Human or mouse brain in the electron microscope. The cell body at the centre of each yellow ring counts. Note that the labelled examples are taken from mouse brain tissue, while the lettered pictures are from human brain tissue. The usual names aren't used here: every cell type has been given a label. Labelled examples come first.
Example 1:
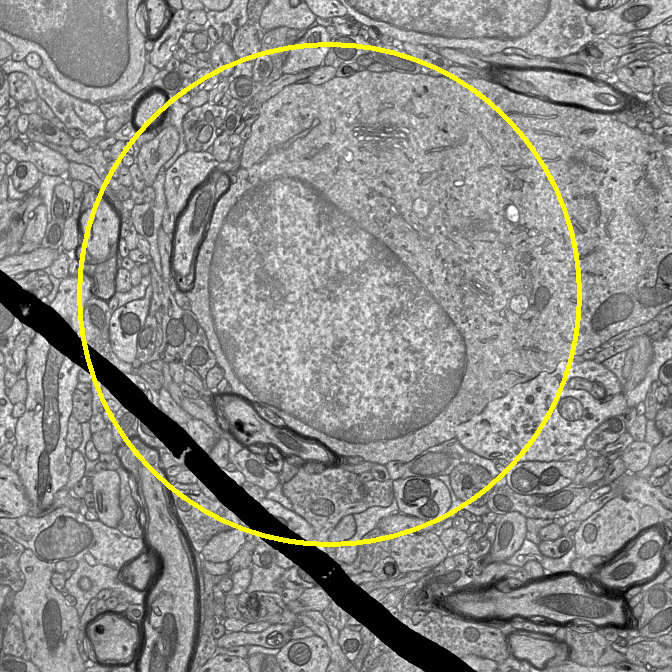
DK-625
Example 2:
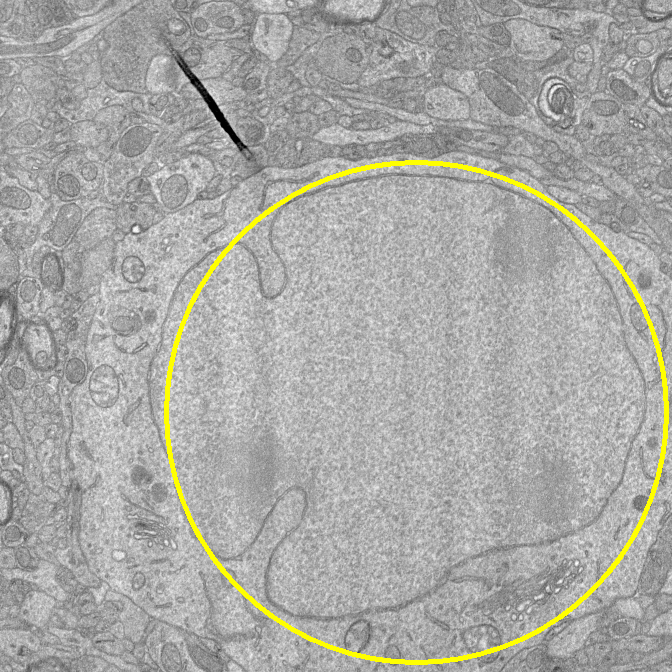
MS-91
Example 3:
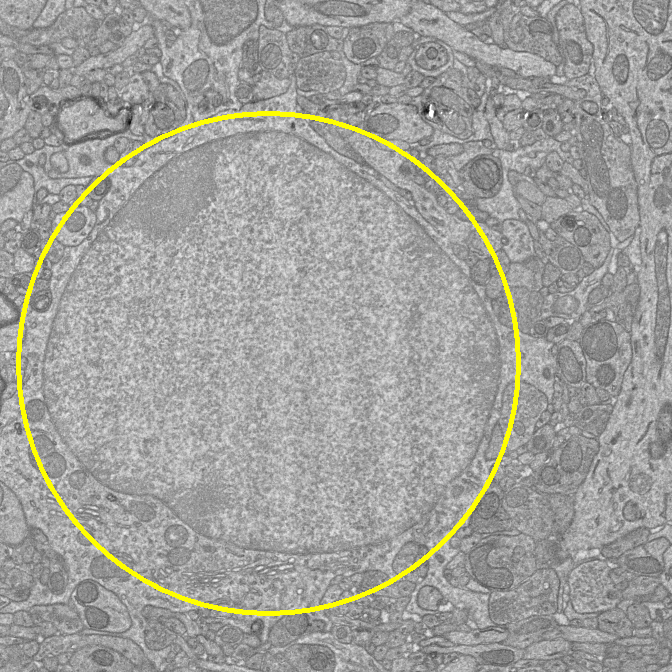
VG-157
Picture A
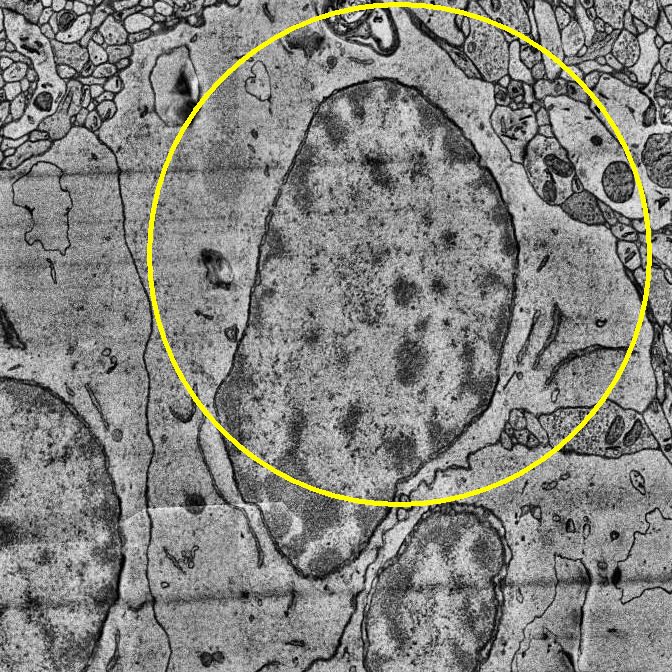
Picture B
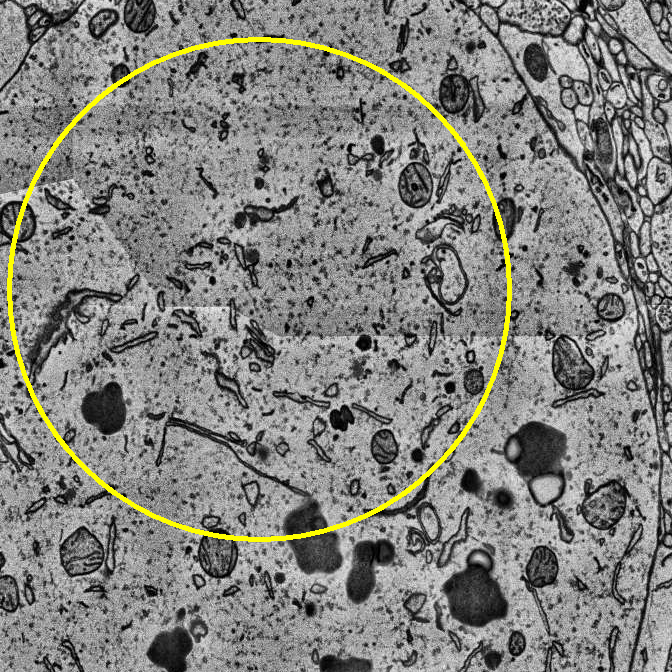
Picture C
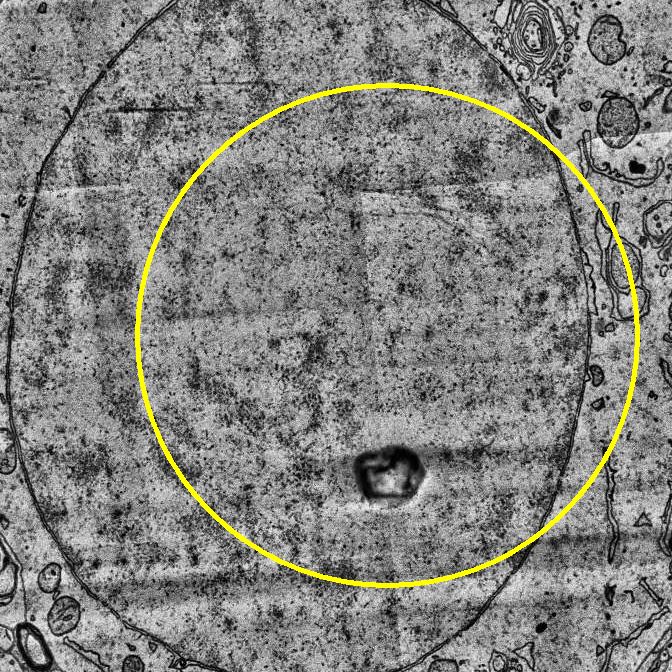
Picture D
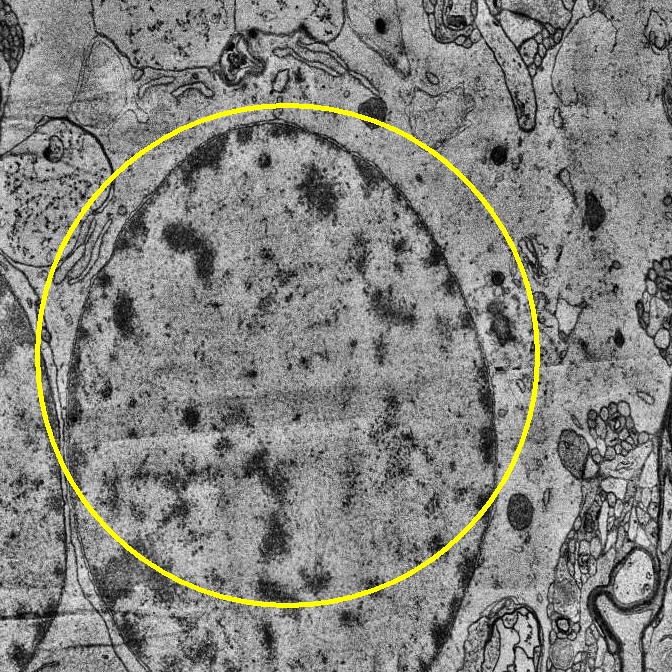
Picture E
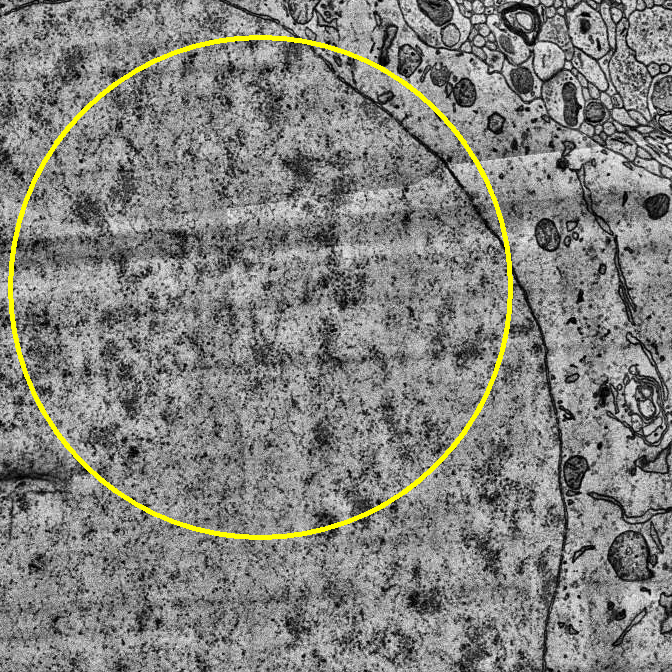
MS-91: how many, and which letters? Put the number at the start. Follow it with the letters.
3: B, C, E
